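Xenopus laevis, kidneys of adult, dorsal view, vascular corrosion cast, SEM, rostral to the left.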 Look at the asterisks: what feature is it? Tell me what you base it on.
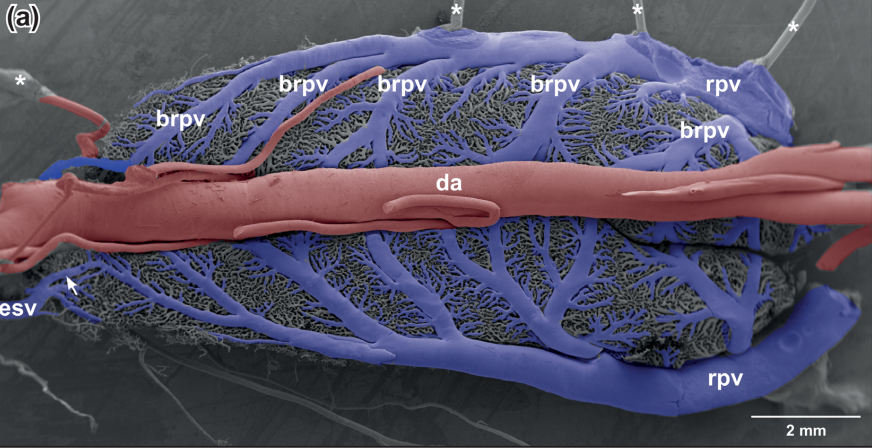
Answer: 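Thin straight rod-like strands extend from the cast edge out of the specimen. They are smooth and uncolored, unlike the vessels. The answer: conductive bridges.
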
